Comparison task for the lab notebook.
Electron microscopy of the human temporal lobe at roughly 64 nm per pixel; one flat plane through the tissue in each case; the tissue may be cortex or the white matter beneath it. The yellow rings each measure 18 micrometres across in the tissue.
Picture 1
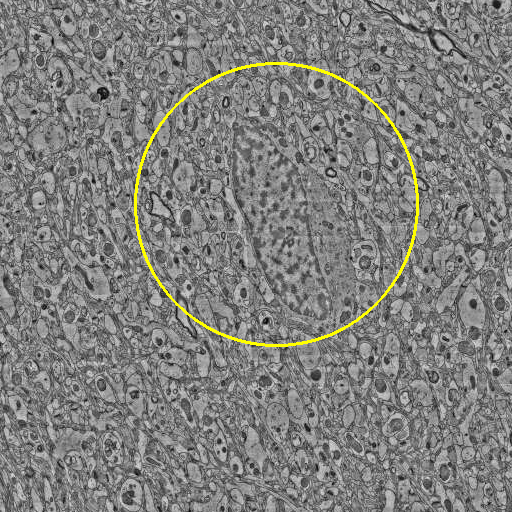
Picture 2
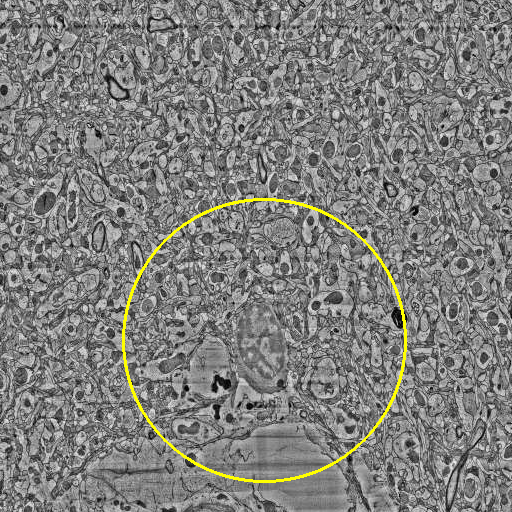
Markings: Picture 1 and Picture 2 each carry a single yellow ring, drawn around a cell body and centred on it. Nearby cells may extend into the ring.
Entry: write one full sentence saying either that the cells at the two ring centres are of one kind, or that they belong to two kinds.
The cells sitting at the ring centres in Picture 1 and Picture 2 are of one kind.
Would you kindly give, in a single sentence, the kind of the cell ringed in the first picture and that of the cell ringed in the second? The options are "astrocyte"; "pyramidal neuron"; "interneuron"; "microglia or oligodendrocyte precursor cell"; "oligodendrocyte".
In each of the two pictures, the ringed cell is an oligodendrocyte.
